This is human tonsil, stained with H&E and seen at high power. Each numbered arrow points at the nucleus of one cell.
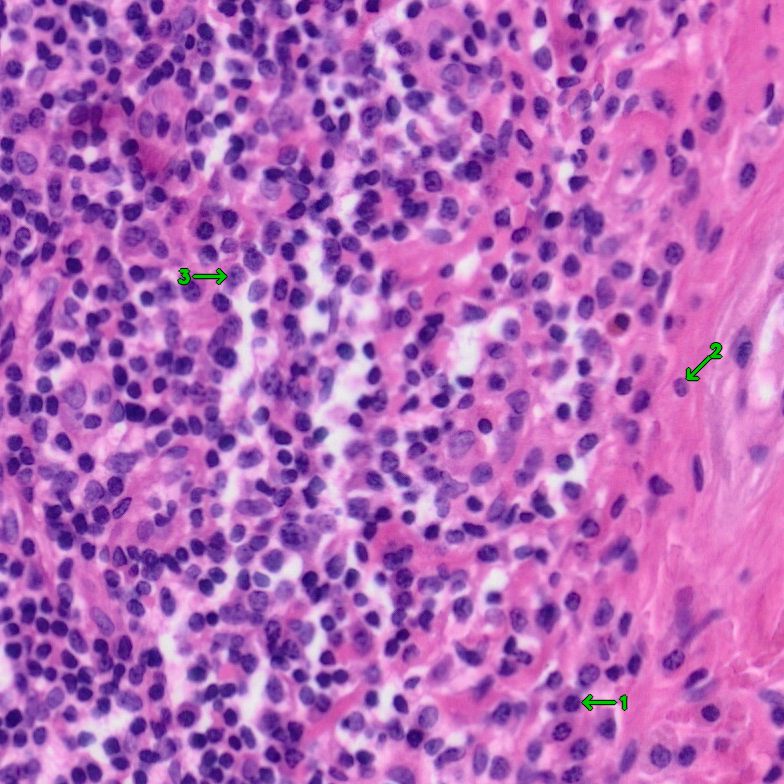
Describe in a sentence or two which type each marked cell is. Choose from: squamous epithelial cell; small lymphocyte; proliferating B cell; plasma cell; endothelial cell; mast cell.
Cell 1 is a plasma cell, cell 2 is a mast cell and cell 3 is a plasma cell.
